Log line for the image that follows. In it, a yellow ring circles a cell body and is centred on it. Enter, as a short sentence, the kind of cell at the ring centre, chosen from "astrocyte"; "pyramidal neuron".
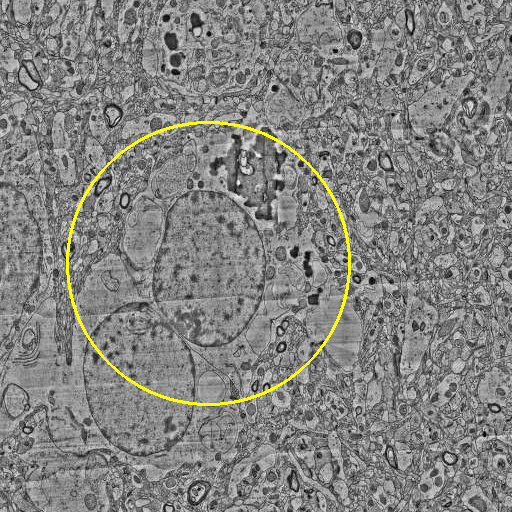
The ring centre is occupied by an astrocyte.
